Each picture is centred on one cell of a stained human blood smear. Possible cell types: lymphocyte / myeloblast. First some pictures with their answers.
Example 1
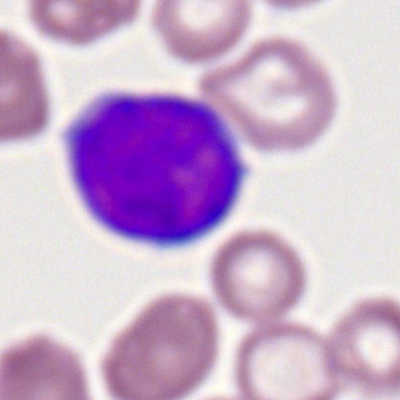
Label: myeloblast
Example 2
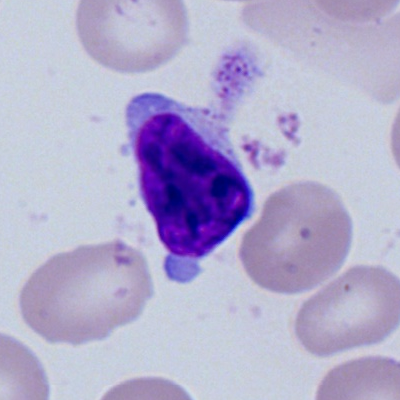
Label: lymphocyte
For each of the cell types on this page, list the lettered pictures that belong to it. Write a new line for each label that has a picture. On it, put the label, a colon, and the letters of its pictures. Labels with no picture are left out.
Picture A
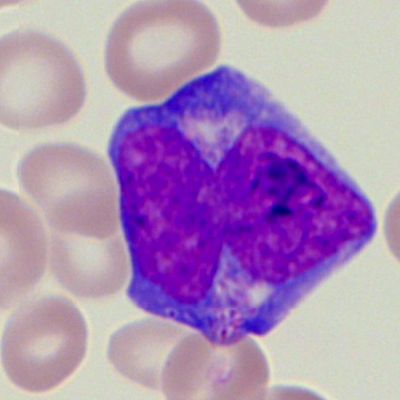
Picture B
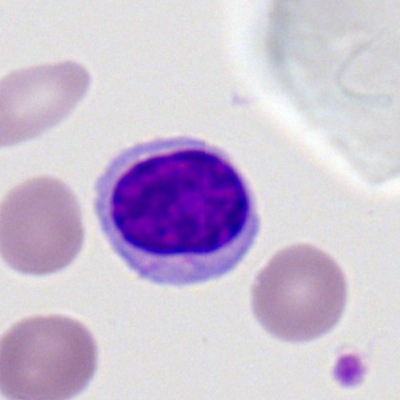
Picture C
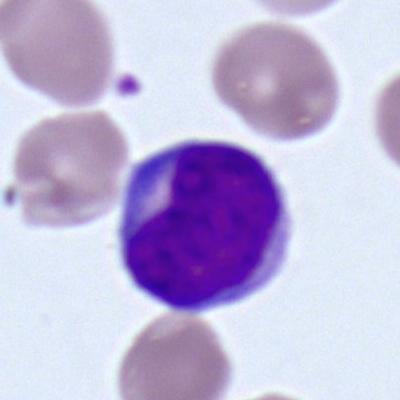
lymphocyte: B
myeloblast: A, C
